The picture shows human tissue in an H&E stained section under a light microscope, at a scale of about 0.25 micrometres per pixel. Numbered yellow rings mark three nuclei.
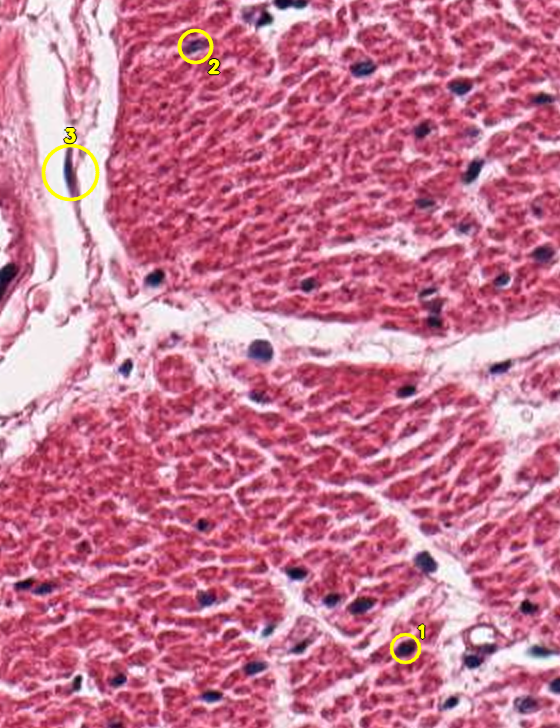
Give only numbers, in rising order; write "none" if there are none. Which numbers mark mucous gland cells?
none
